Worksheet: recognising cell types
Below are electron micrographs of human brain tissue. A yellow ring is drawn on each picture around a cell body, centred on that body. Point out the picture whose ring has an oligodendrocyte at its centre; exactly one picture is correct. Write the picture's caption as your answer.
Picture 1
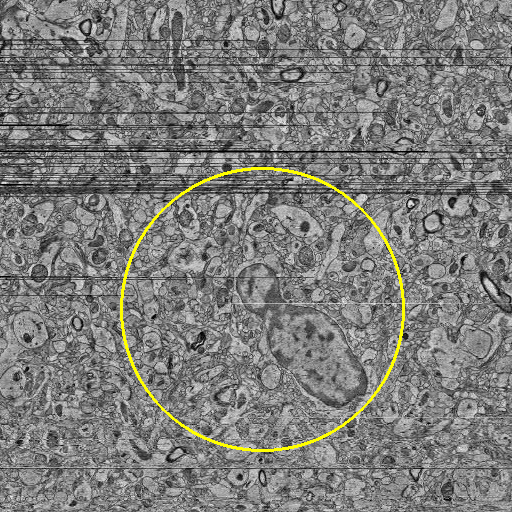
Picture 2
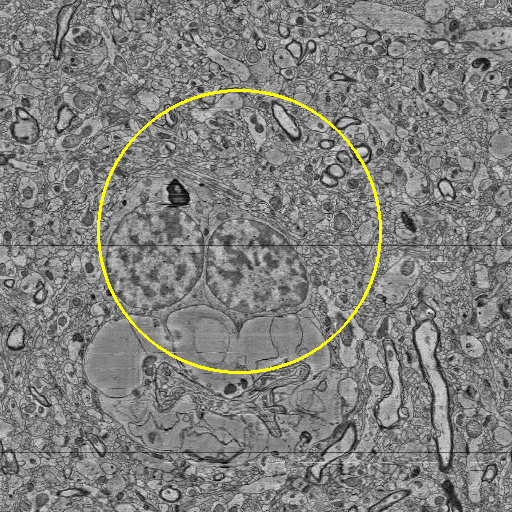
Picture 2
